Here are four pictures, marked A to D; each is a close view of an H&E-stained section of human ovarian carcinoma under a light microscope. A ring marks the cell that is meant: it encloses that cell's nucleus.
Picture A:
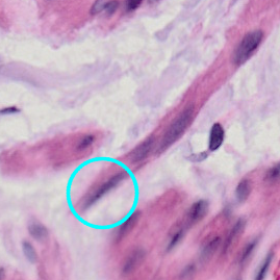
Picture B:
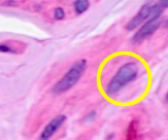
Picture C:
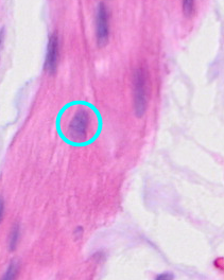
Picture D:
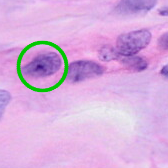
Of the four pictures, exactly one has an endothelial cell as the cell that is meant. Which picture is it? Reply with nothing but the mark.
D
